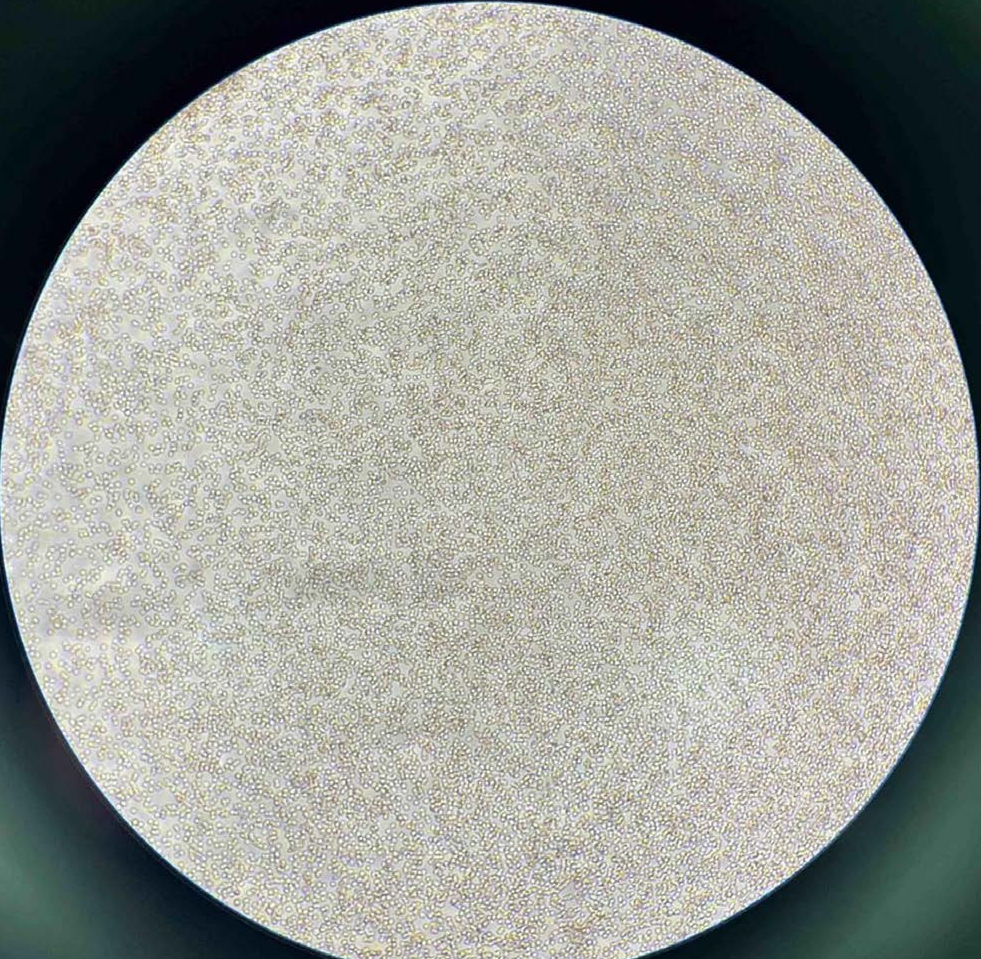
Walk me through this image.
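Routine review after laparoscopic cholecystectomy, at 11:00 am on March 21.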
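This is a blood smear at low magnification, showing a field densely packed with red blood cells. The cells are small, round and of fairly uniform size. They have a pale yellowish-tan tint, and no nuclei can be seen in them. No large clumps or masses of aggregated cells stand out.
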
